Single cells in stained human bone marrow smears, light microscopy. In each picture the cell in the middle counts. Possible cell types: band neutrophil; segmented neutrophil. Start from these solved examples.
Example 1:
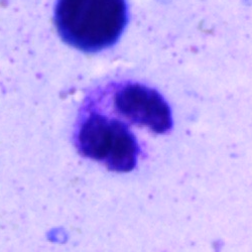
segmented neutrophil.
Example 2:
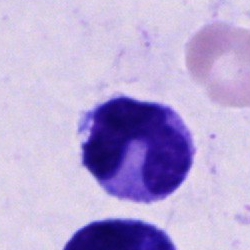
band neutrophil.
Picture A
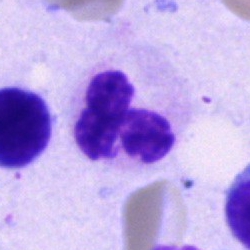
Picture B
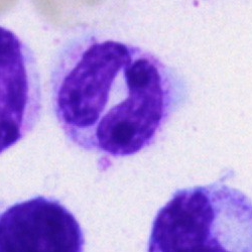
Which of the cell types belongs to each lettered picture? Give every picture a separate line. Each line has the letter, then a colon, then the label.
A: segmented neutrophil.
B: segmented neutrophil.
